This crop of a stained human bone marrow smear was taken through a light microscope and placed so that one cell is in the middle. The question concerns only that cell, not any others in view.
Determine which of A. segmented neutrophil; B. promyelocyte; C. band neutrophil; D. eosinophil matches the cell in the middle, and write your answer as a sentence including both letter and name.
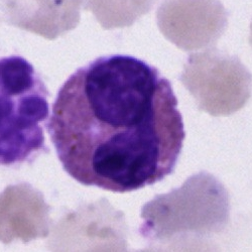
Correctly, option D names the cell in the middle an eosinophil.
